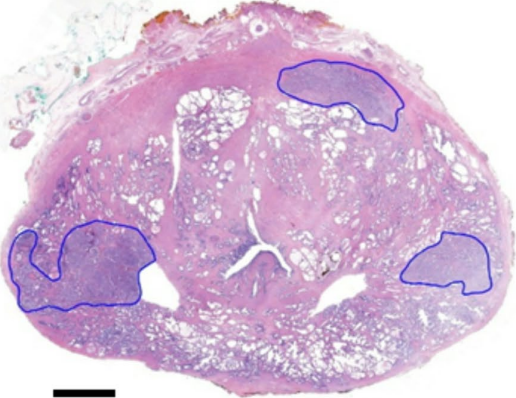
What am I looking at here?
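A whole-mount cross section through the middle of the prostate at low magnification, stained pink and purple. A branching, slit-like lumen lies near the centre. Many glands, some small and some dilated and cystic, are scattered through pink fibromuscular stroma, and a thick band of pink stroma forms the anterior part and rim of the section. Three regions are outlined in blue: a large one at the lower left and a smaller one at the lower right, each beside an open white space, and an elongated one in the upper right. These outlined areas look denser and more purple than the surrounding tissue, with crowded glands.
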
